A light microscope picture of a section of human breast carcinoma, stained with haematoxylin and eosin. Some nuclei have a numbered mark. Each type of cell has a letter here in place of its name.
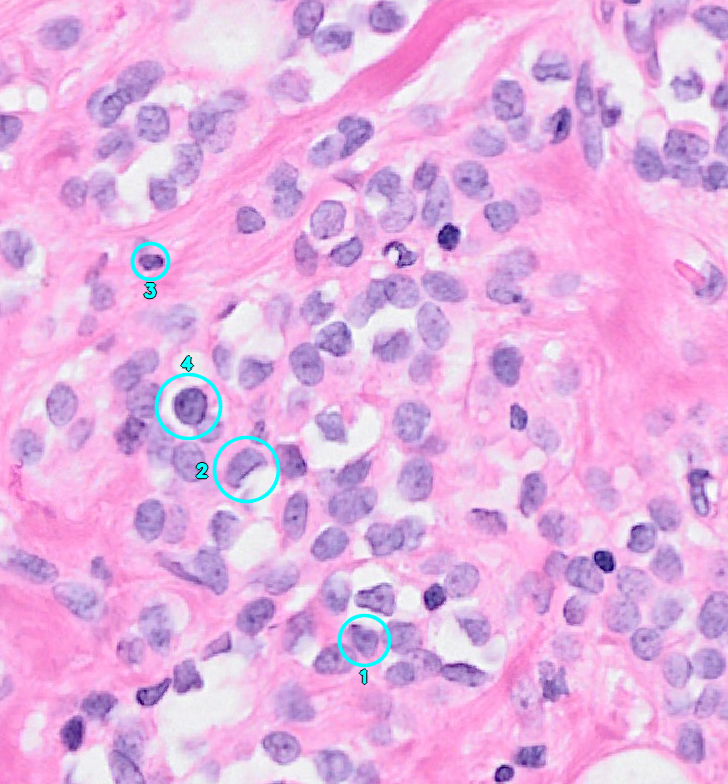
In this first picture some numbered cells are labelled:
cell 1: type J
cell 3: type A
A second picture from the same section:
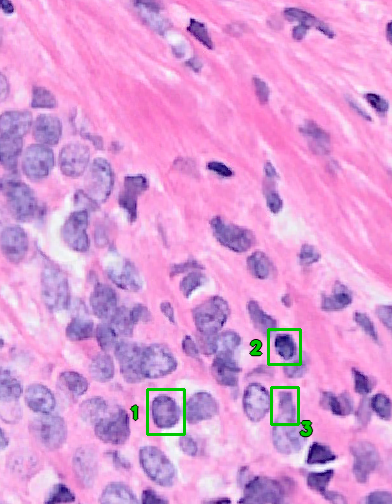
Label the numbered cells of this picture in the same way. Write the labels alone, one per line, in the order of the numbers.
type J
type A
type J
